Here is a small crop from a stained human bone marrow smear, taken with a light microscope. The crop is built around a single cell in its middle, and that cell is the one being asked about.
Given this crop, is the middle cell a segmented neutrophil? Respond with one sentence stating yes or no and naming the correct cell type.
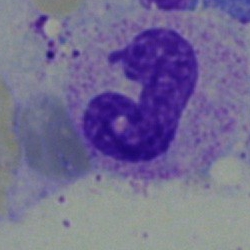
No, the cell in the middle is correctly named a band neutrophil, not a segmented neutrophil.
